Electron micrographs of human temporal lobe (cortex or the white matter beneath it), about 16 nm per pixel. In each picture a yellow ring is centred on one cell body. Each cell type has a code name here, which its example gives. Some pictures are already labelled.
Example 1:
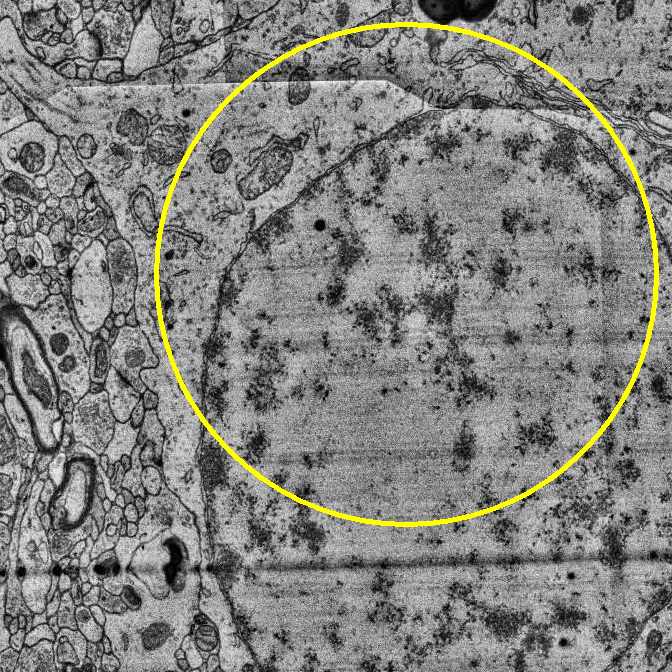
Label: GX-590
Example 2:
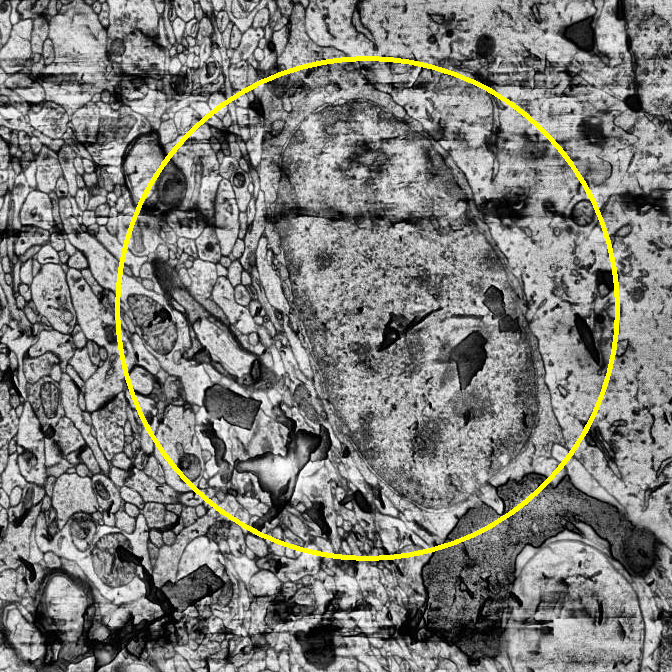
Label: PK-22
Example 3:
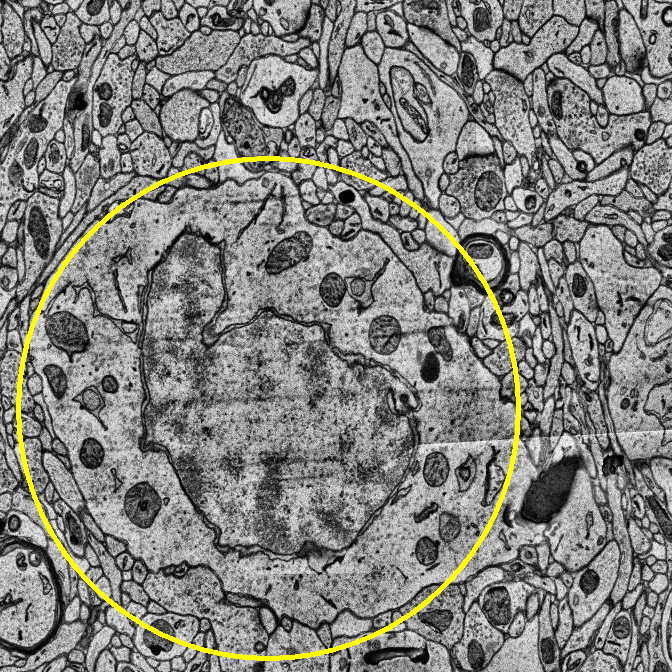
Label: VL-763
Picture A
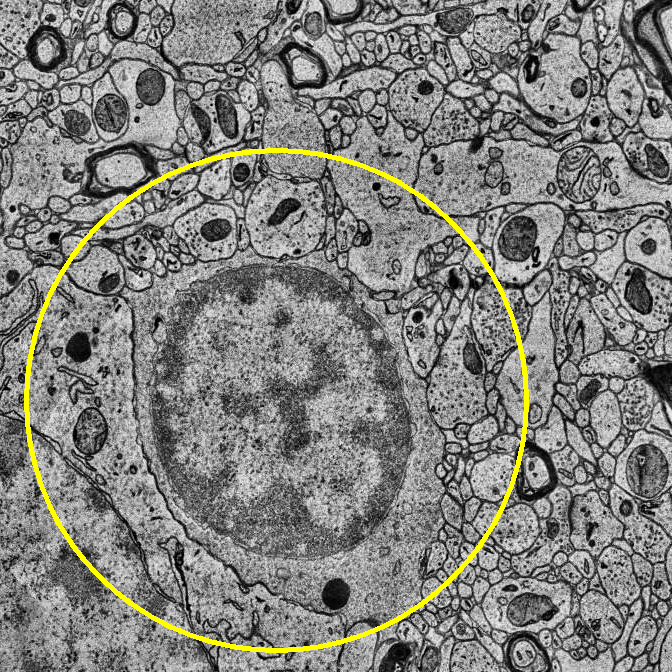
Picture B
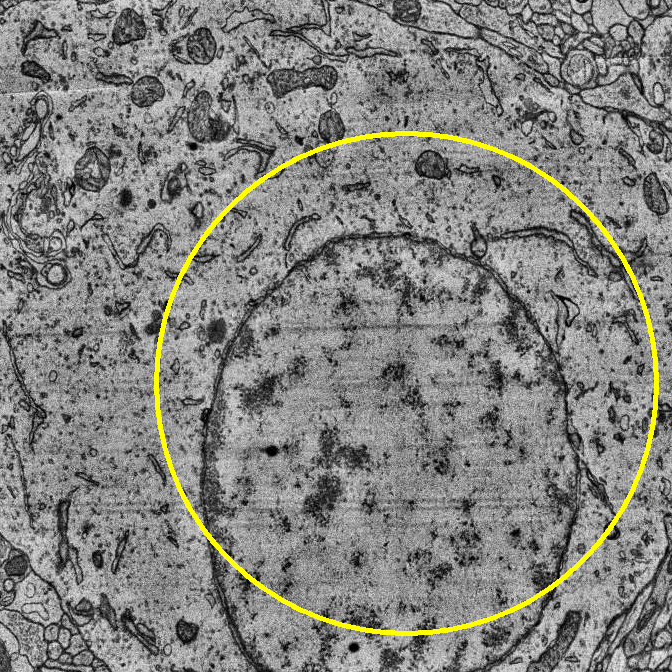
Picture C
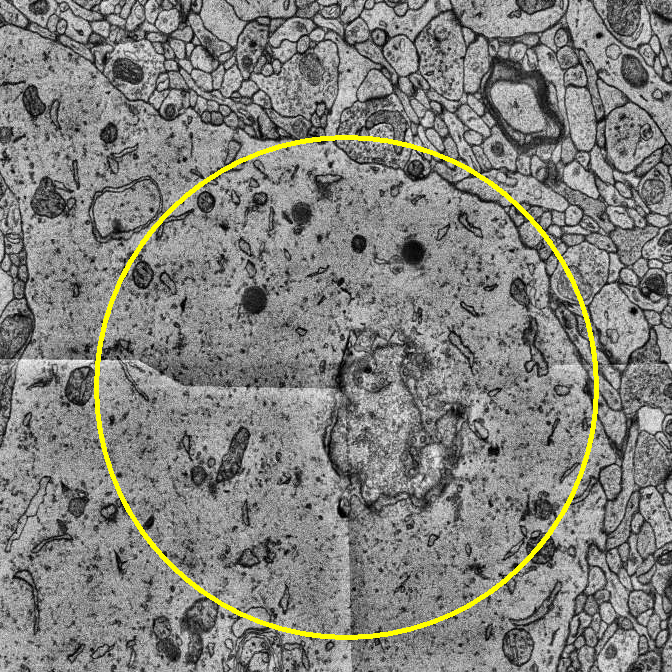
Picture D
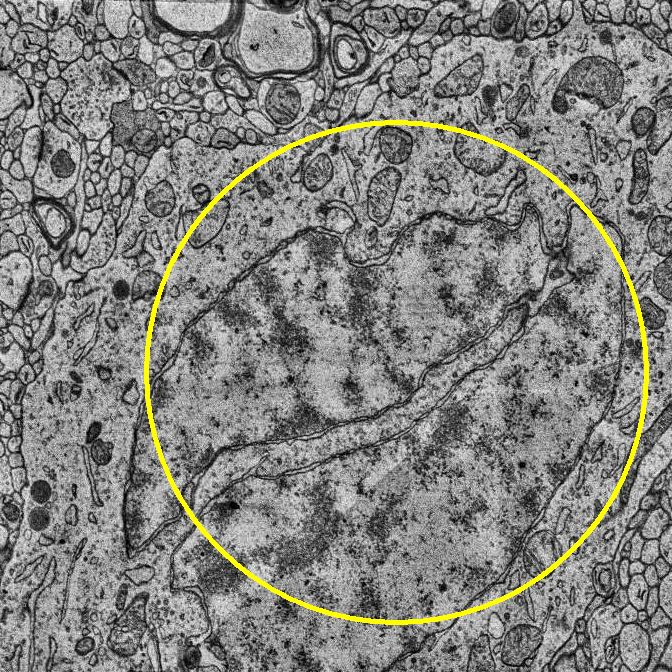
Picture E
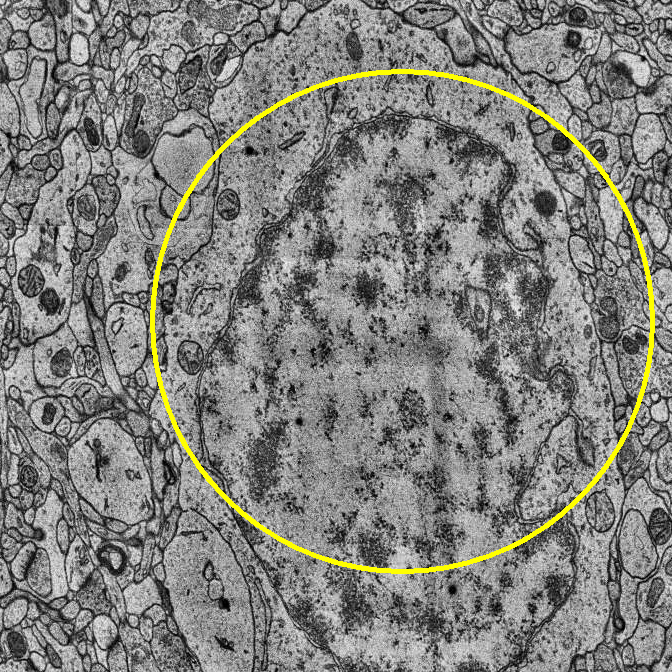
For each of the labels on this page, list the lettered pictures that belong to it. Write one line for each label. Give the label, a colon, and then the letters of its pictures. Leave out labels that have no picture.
GX-590: B, C
PK-22: A
VL-763: D, E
